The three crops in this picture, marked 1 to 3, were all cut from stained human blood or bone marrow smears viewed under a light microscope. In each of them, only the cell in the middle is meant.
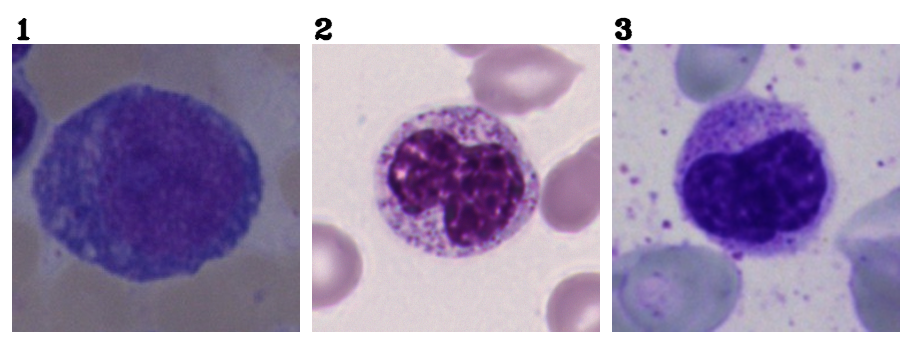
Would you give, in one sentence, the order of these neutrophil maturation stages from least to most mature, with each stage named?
So the order, from least to most mature, is crop 1 (a promyelocyte), crop 3 (a myelocyte) and crop 2 (a metamyelocyte).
